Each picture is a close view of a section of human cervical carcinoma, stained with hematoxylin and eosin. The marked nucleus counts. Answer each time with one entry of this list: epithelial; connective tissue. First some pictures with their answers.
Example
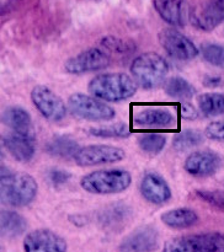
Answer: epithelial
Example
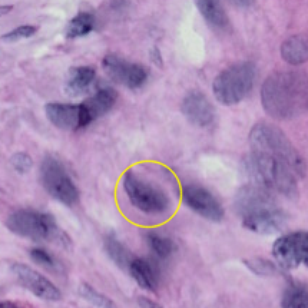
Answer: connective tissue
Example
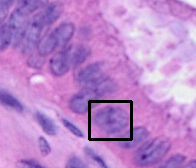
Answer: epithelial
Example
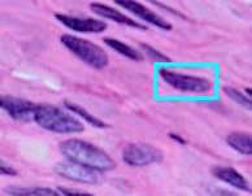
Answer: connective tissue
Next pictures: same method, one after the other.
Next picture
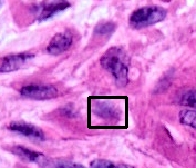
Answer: connective tissue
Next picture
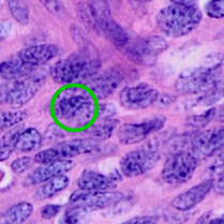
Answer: epithelial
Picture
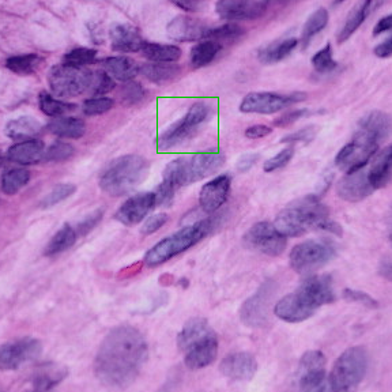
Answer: connective tissue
